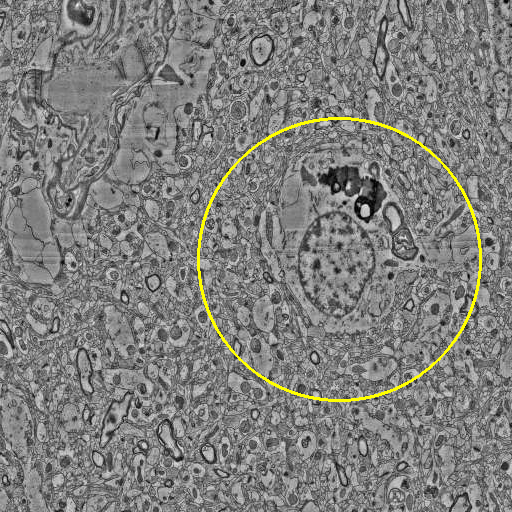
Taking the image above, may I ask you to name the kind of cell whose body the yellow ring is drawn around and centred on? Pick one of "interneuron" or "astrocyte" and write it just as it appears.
astrocyte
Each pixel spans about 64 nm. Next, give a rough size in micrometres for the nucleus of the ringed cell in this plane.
The ringed cell's nucleus is about 7 micrometres long and 5 micrometres wide in this plane.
